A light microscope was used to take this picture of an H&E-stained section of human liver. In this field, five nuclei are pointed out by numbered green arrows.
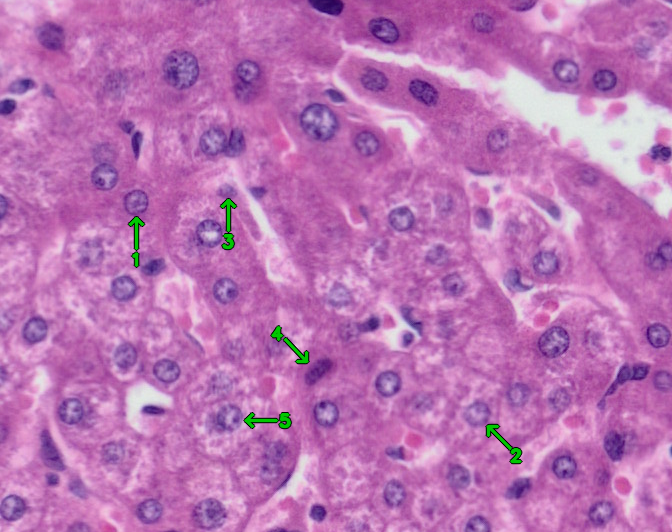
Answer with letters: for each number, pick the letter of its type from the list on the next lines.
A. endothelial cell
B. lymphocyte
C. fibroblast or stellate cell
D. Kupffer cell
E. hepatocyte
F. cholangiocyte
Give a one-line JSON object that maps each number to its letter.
{"1": "E", "2": "E", "3": "D", "4": "C", "5": "E"}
